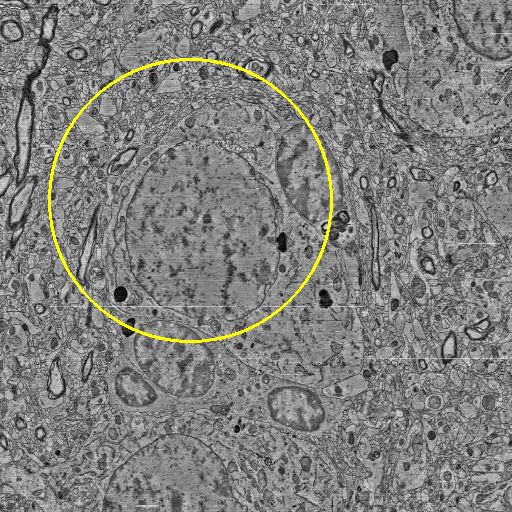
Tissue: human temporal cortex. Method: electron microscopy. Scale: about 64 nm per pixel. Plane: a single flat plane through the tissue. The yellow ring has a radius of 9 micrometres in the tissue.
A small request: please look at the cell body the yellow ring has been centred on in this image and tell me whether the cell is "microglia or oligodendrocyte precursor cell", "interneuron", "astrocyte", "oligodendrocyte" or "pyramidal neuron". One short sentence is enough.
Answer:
The cell marked by the ring is a pyramidal neuron.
